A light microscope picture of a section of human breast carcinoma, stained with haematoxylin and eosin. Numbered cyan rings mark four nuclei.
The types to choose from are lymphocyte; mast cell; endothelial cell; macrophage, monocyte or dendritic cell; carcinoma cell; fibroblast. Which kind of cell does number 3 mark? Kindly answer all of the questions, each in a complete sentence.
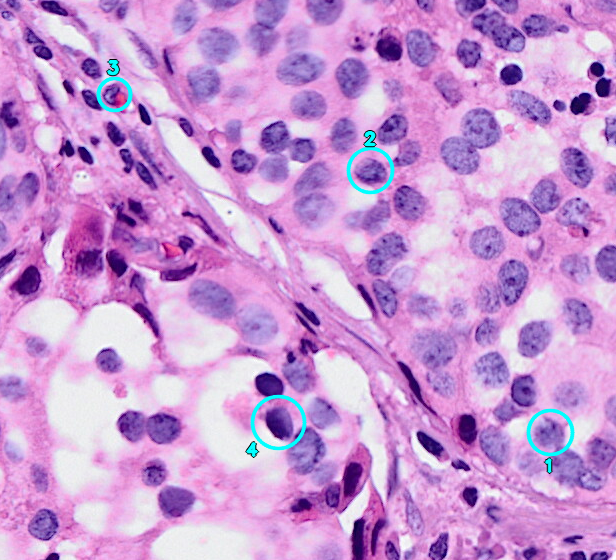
The marked cell bearing number 3 is an endothelial cell.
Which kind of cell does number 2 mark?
What the number 2 marks in this field is a carcinoma cell.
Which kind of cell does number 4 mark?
It is as a carcinoma cell that the cell numbered 4 is identified.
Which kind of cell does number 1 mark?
At number 1, the marked cell is a carcinoma cell.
